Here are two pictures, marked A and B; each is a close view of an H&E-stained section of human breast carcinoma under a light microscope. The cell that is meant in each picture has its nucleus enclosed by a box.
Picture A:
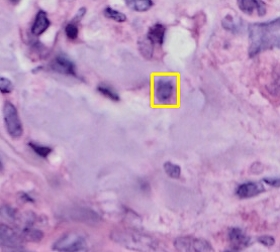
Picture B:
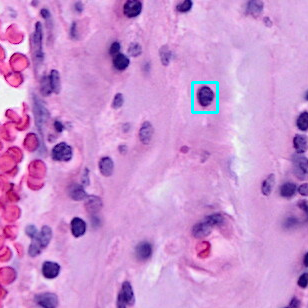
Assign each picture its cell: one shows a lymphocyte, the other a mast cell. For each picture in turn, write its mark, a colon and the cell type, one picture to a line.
A: mast cell
B: lymphocyte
